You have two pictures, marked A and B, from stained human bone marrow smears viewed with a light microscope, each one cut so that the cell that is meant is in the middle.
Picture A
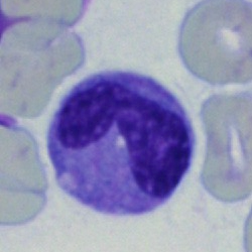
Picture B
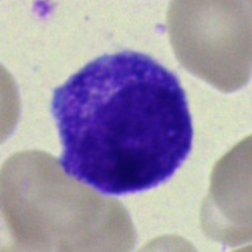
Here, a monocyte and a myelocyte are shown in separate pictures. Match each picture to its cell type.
A: monocyte
B: myelocyte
